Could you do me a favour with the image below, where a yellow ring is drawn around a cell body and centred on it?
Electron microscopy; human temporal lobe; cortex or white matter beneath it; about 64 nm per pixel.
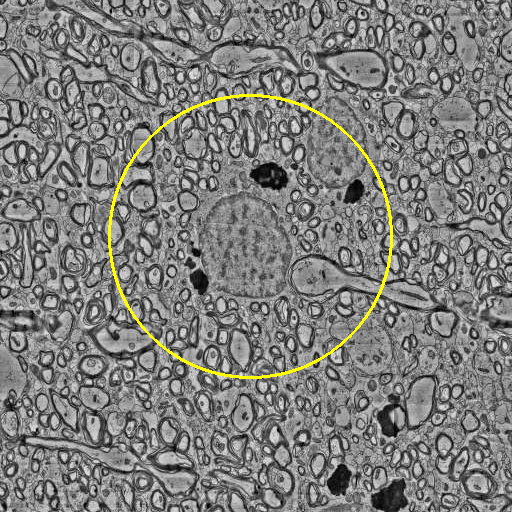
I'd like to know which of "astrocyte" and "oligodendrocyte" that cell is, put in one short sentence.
The cell at the ring's centre is an oligodendrocyte.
